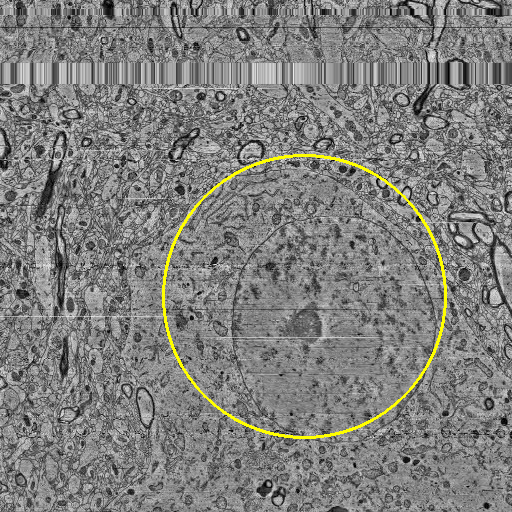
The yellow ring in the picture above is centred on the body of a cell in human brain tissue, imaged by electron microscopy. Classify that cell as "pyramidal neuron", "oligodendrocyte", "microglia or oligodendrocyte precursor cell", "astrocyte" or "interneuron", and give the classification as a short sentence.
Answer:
The cell in the middle of the ring is a pyramidal neuron.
